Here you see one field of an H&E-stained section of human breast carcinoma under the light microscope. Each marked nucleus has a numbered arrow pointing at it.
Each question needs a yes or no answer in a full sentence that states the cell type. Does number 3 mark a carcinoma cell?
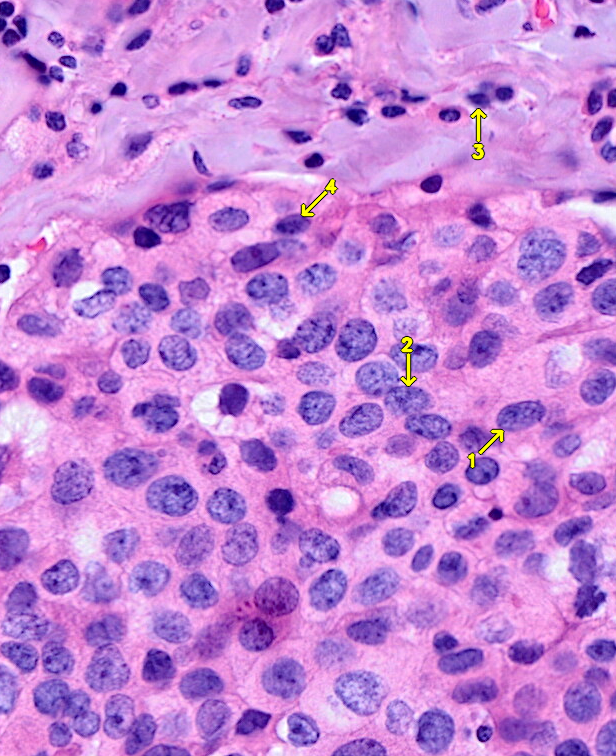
No, the cell with number 3 is not a carcinoma cell but a lymphocyte.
